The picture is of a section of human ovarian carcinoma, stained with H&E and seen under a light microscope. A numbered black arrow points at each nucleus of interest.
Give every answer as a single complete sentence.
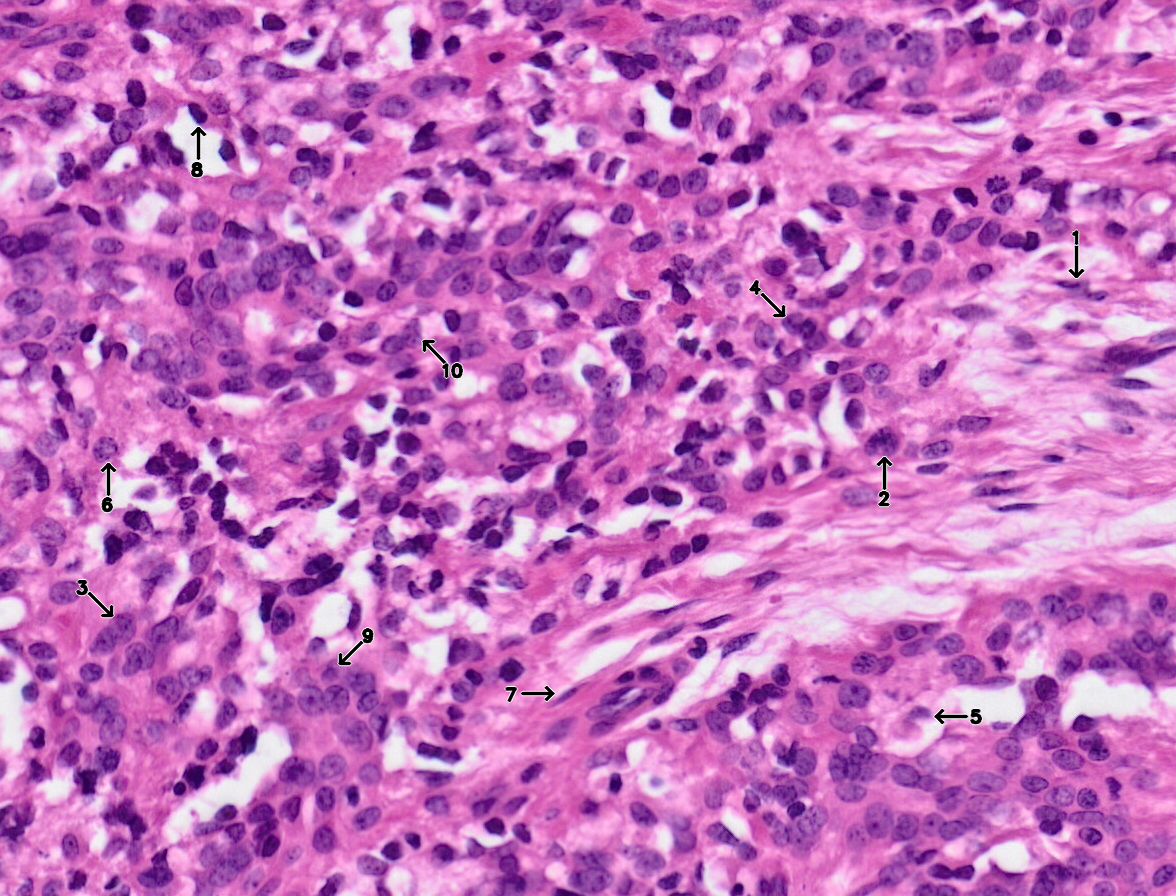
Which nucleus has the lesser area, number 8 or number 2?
With nucleus 2 about 2 times its size, nucleus 8 is the smaller of the two.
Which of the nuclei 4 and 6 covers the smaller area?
Nucleus 4 is the smaller one; nucleus 6 covers about 1.5 times its area.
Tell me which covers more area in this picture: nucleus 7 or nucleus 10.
Nucleus 10 is the larger one, covering about 2 times the area of nucleus 7.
